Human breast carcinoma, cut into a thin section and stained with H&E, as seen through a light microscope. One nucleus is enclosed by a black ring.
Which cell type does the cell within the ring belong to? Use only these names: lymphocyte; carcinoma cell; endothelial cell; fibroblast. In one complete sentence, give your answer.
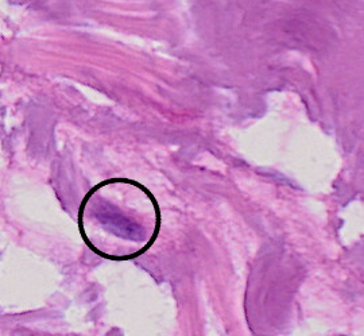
In the tissue at hand, the cell within the ring is a fibroblast.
